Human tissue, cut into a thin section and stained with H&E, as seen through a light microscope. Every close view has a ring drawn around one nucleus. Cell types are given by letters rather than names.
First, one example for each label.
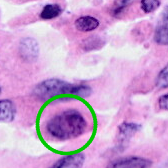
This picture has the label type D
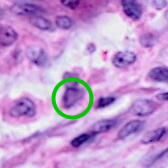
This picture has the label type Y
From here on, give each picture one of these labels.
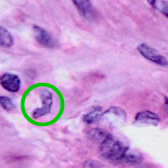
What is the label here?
type Y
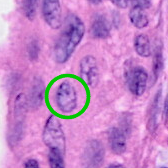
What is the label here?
type D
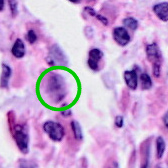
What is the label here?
type Y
